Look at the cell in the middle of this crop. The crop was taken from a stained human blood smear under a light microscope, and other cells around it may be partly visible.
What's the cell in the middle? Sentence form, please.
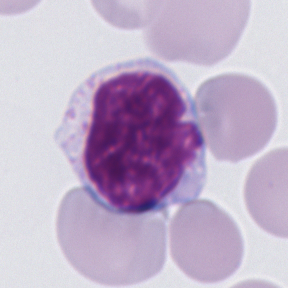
The cell centred in this crop is categorized as a large granular lymphocyte.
